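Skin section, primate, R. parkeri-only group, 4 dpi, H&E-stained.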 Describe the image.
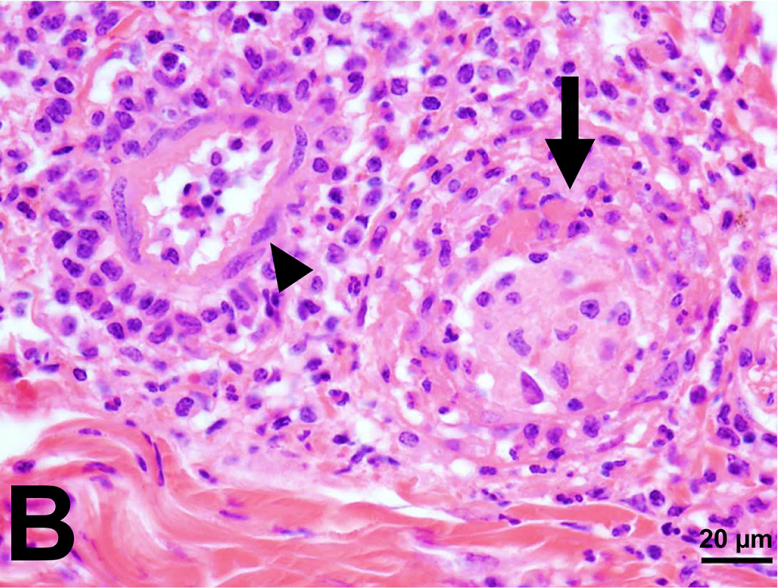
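Here we look at the dermis, densely packed with inflammatory cells: many small cells with dark, segmented or lobed nuclei, which are neutrophils, mixed with larger cells having oval nuclei and more pink cytoplasm, which are macrophages. On the left lies a small dermal vessel with an open lumen, still lined by thin, flat endothelial nuclei, but ringed by these inflammatory cells. To its right is another vessel whose wall has been overrun: its center is smudged pink, its outline blurred, and inflammatory cells pass into it, a picture of vasculitis. Along the bottom run bright pink bands of fibrous tissue with a few slender nuclei.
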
